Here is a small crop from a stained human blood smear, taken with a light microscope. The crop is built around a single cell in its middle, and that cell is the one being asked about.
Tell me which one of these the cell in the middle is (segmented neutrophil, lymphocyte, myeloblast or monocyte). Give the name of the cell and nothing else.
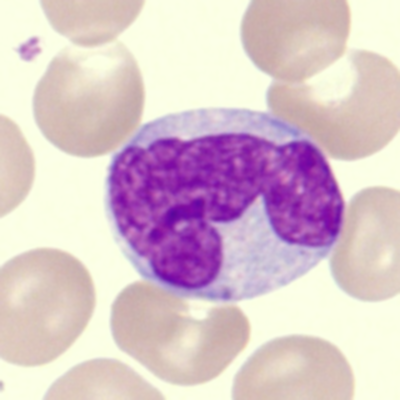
monocyte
